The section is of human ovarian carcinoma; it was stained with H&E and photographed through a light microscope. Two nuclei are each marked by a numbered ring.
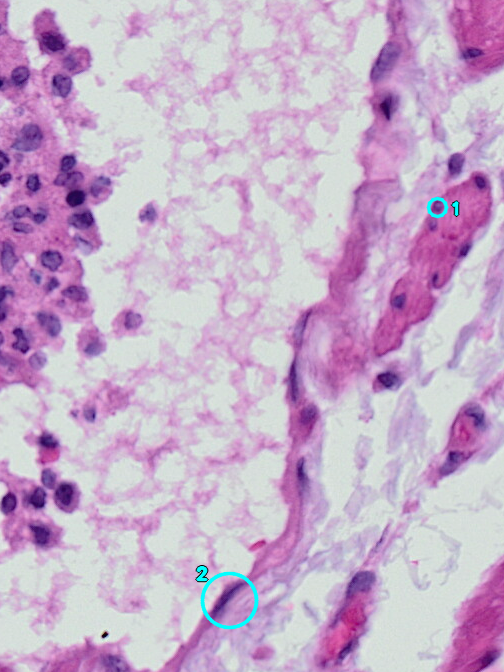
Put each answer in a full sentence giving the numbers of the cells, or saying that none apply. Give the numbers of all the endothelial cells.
Cell 2 is an endothelial cell, whereas each of the other numbered cells is not.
